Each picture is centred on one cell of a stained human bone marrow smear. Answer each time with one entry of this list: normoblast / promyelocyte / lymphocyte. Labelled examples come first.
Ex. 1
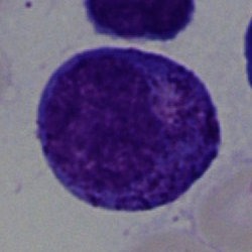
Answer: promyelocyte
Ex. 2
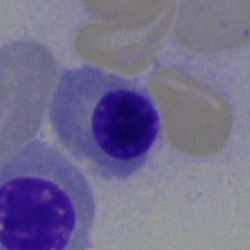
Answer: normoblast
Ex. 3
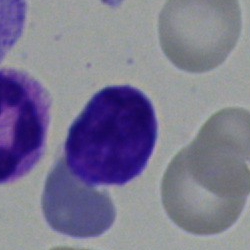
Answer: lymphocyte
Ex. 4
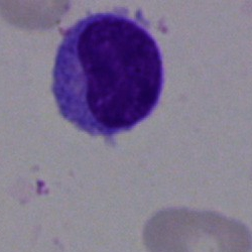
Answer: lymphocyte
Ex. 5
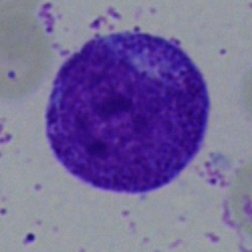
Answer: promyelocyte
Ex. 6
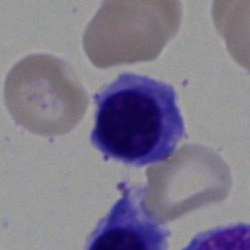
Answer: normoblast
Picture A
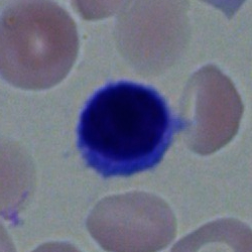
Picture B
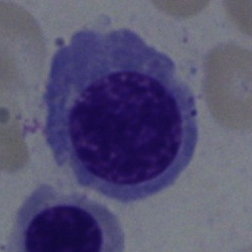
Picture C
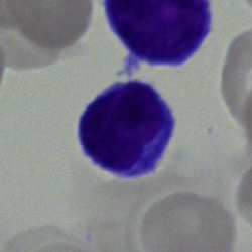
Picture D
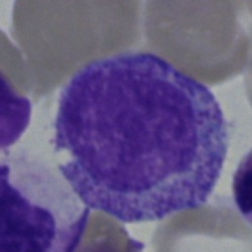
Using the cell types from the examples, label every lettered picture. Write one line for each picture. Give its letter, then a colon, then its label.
A: normoblast
B: normoblast
C: lymphocyte
D: promyelocyte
